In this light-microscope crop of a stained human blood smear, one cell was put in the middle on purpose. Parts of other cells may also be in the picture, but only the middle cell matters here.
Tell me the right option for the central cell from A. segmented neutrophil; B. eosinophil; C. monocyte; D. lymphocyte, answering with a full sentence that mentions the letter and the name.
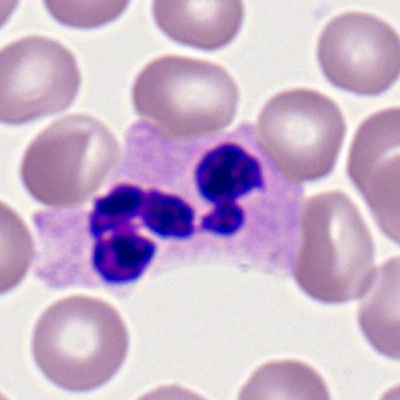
The cell in the middle is correctly identified as a segmented neutrophil in option A.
